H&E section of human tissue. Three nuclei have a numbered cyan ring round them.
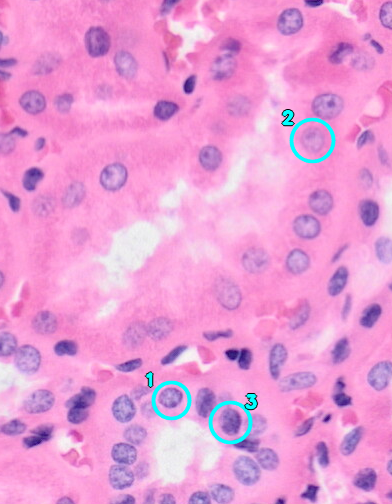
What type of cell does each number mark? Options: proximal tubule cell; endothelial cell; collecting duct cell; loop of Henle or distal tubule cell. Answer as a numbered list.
1. collecting duct cell
2. proximal tubule cell
3. collecting duct cell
